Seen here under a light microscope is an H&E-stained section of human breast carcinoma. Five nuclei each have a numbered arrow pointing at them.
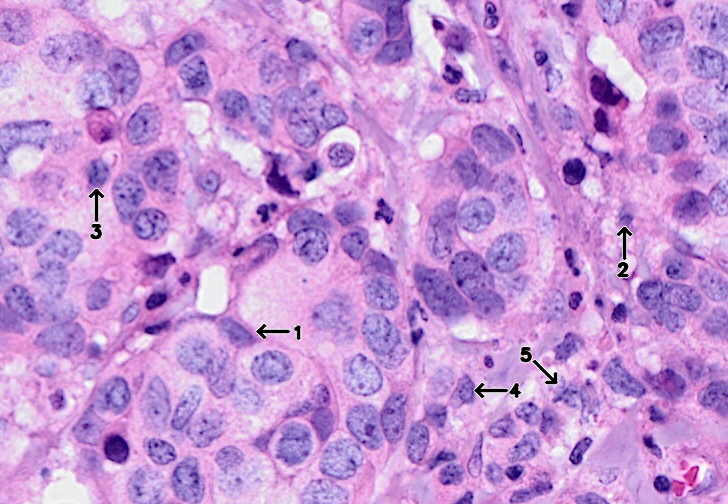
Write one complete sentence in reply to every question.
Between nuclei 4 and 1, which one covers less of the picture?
Nucleus 4 is the smaller one; nucleus 1 covers about 2 times its area.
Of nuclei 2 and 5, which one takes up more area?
Of the two, number 5 is bigger and takes up about 1.5 times the area of number 2.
